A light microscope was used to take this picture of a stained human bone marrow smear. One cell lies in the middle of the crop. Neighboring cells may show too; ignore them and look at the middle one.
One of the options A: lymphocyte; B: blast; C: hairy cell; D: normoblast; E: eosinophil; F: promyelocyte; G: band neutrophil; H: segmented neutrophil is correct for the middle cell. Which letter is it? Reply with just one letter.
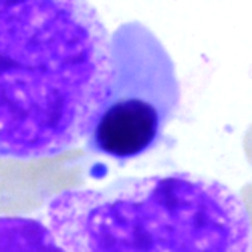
D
